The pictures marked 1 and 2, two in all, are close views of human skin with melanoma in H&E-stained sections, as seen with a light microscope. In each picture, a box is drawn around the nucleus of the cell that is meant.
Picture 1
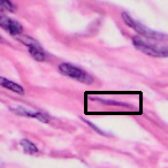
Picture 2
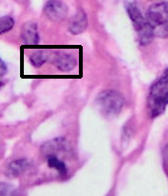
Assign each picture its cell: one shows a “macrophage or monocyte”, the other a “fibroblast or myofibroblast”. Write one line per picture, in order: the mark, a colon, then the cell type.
1: fibroblast or myofibroblast
2: macrophage or monocyte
